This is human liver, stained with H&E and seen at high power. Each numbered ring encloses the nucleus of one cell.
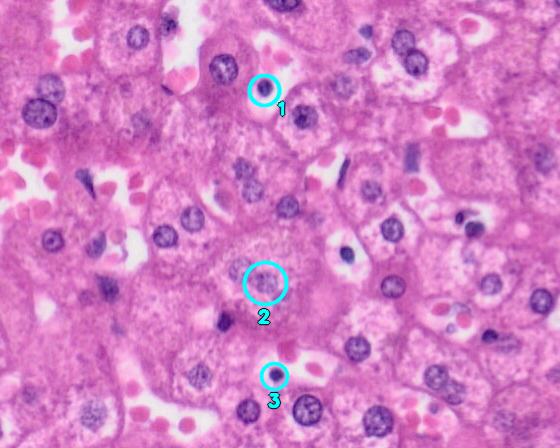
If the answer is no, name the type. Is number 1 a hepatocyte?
No, it is a lymphocyte.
